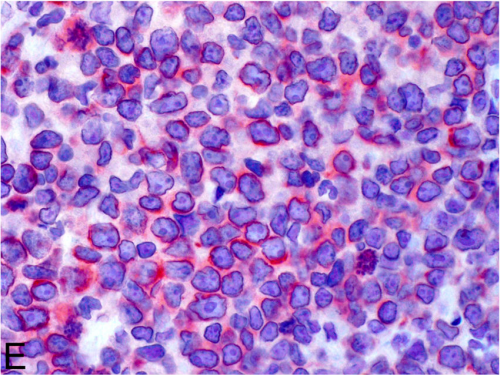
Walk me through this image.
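This is a dense sheet of lymphoma cells, with medium-sized lymphoid cells packed closely together and no normal architecture. Their nuclei are oval to irregular, several of them indented, with fine blue chromatin and little cytoplasm. Red stain outlines the nuclear borders sharply and fills the narrow cytoplasm between cells. A few cells with clumped, dividing chromatin are scattered among them.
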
